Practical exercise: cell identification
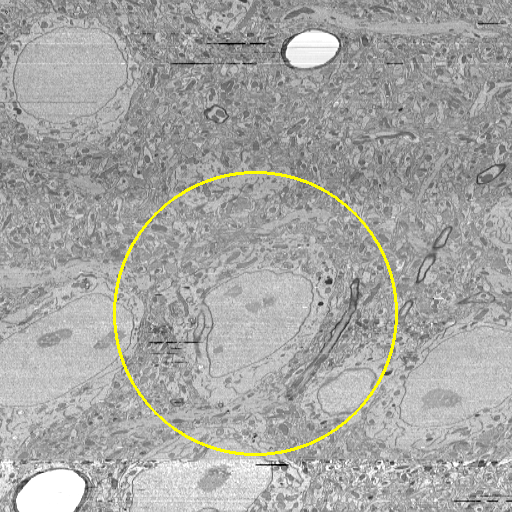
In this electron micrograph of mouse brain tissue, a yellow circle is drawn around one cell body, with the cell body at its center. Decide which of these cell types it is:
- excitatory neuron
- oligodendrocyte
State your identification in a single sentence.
The ringed cell is an excitatory neuron.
